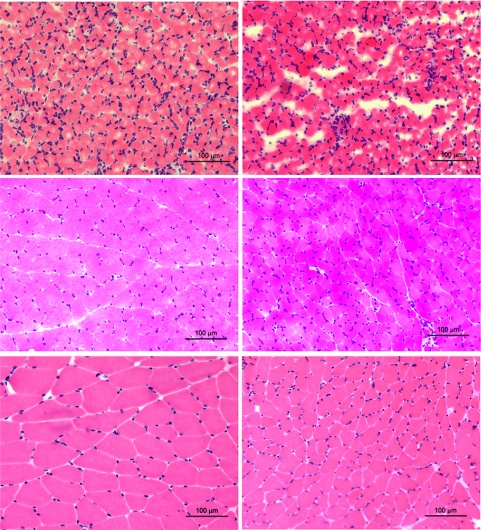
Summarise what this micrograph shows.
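Skeletal muscle in cross-section, H&E, six fields arranged in three rows of two. Myofibers appear as polygonal pink profiles packed side by side, separated by thin pale lines of endomysium. Small dark purple nuclei lie at the periphery of the fibers, pressed against their borders. In the top row the fibers are small and crowded, nuclei are dense, and pale clefts open between groups of fibers in one field. Fiber profiles become progressively larger down the rows, with nuclei more widely spaced. In the bottom row the fibers in one field are clearly larger and fewer per field than in the other.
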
